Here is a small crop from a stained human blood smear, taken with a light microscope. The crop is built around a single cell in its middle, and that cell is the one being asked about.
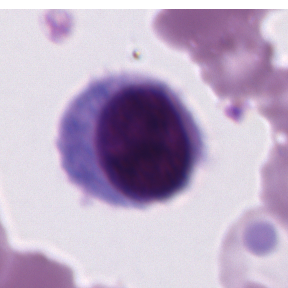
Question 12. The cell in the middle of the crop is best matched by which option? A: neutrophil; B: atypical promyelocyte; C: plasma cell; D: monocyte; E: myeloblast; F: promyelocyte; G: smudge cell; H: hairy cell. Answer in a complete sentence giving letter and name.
The correct option is H, as the central cell is a hairy cell.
